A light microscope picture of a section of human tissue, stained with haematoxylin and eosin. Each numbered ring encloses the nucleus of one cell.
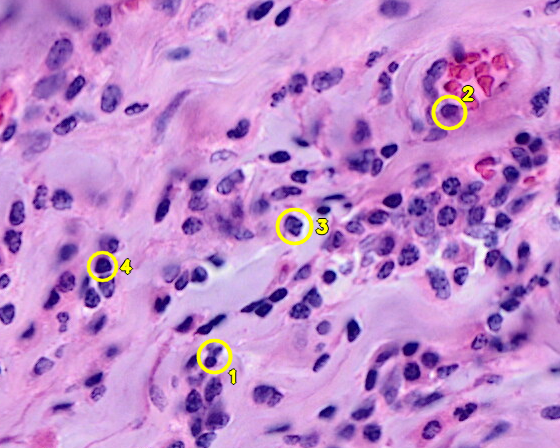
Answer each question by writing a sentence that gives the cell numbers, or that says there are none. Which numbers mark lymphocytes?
Identified as lymphocytes are the cells numbered 1, 3 and 4.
